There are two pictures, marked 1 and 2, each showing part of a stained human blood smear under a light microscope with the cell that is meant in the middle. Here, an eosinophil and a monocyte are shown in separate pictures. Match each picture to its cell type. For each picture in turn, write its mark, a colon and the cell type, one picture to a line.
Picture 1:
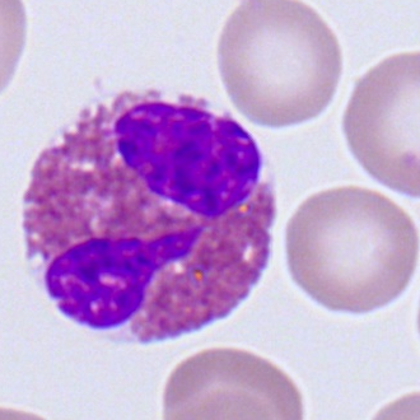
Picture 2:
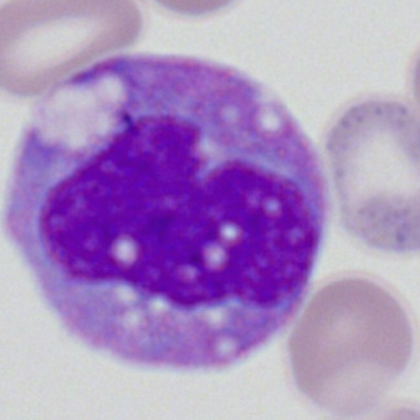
1: eosinophil
2: monocyte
